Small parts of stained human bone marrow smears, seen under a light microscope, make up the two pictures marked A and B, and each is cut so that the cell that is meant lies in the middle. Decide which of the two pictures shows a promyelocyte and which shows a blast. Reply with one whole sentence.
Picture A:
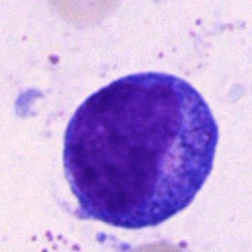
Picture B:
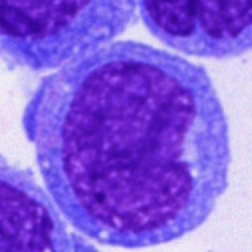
Picture A shows a promyelocyte and picture B shows a blast.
